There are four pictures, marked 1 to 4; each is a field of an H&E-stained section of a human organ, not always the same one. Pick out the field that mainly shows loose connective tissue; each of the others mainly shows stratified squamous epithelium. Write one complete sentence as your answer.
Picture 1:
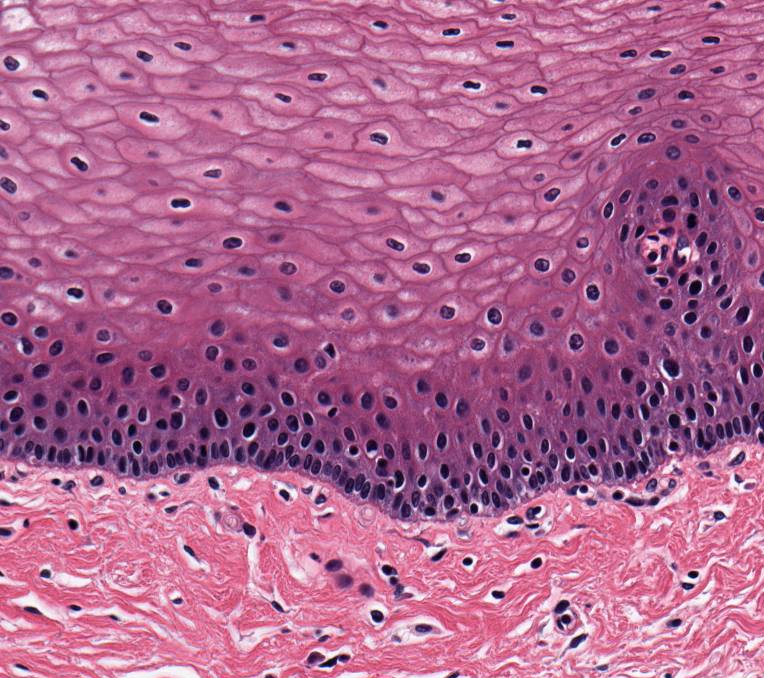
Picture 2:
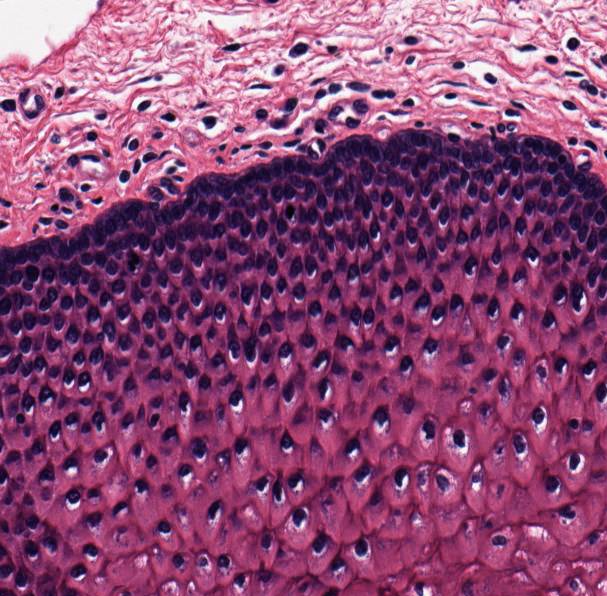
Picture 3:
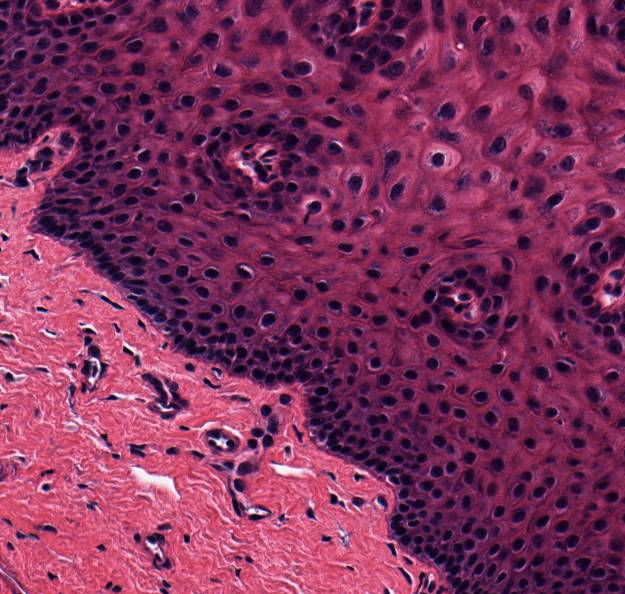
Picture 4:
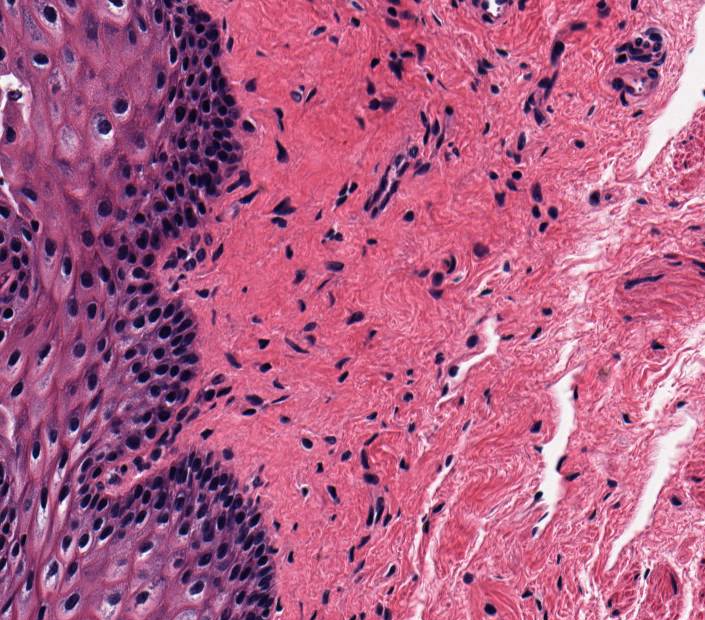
Picture 4 is the field that mainly shows loose connective tissue.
